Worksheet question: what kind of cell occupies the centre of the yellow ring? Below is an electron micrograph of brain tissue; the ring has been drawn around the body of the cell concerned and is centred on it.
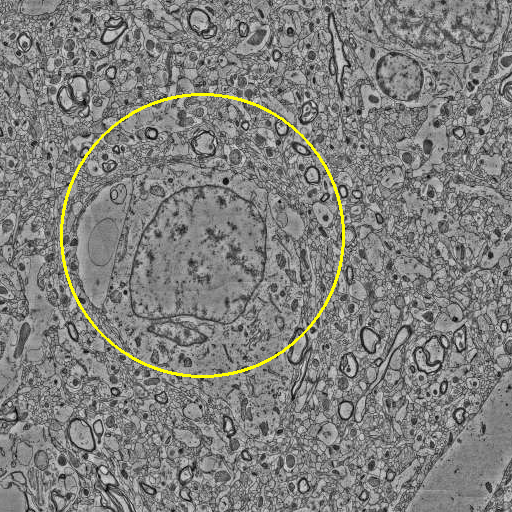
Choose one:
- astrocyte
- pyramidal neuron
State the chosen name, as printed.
pyramidal neuron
